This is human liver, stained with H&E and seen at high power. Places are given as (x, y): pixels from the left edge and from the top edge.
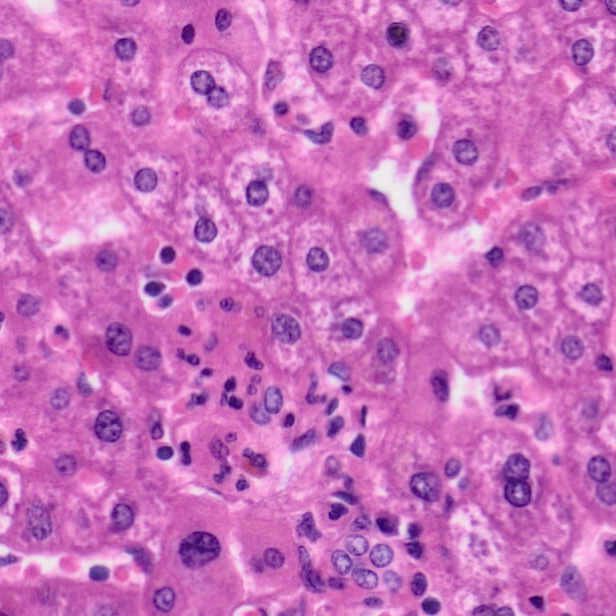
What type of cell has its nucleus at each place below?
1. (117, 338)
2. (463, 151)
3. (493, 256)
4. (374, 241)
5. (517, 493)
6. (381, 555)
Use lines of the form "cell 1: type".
cell 1: hepatocyte
cell 2: hepatocyte
cell 3: fibroblast or stellate cell
cell 4: hepatocyte
cell 5: hepatocyte
cell 6: cholangiocyte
